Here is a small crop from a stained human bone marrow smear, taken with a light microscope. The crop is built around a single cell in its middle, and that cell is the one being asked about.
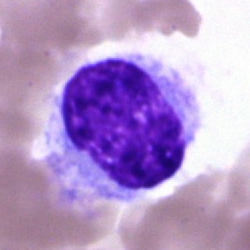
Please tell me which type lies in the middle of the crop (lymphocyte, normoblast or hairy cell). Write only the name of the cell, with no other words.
hairy cell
